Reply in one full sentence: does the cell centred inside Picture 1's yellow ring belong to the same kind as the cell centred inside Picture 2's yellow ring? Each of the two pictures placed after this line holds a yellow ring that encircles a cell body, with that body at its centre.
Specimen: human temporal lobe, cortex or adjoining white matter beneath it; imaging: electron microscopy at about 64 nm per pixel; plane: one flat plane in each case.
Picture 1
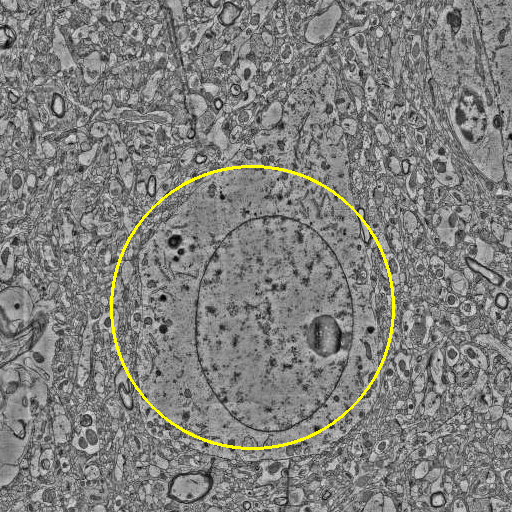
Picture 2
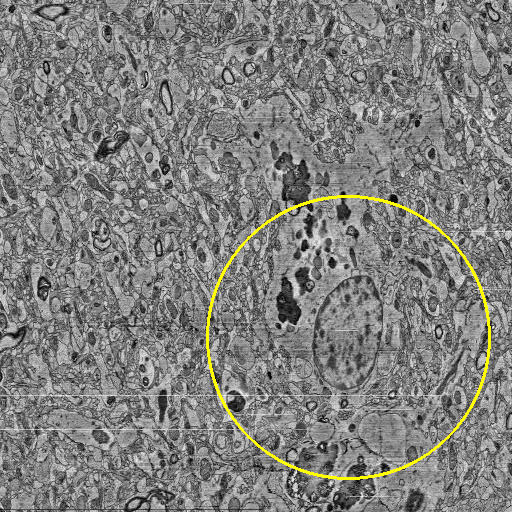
No, the ring-centred cells in Picture 1 and Picture 2 are of two separate kinds.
